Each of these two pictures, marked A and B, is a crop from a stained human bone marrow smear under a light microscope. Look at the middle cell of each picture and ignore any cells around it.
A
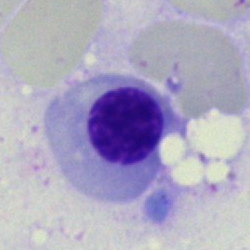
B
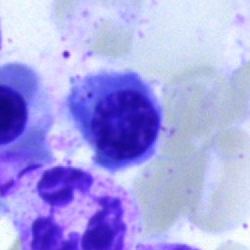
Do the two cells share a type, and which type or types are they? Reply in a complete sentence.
Yes, both crops show erythroblasts, the one and the other.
